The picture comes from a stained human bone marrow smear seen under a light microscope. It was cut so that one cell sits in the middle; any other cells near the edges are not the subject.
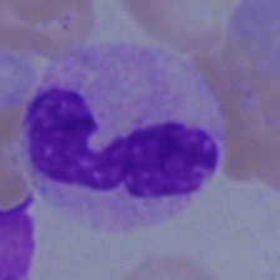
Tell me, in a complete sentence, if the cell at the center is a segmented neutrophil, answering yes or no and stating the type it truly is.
Yes, the cell sitting in the middle of this smear crop is a segmented neutrophil.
